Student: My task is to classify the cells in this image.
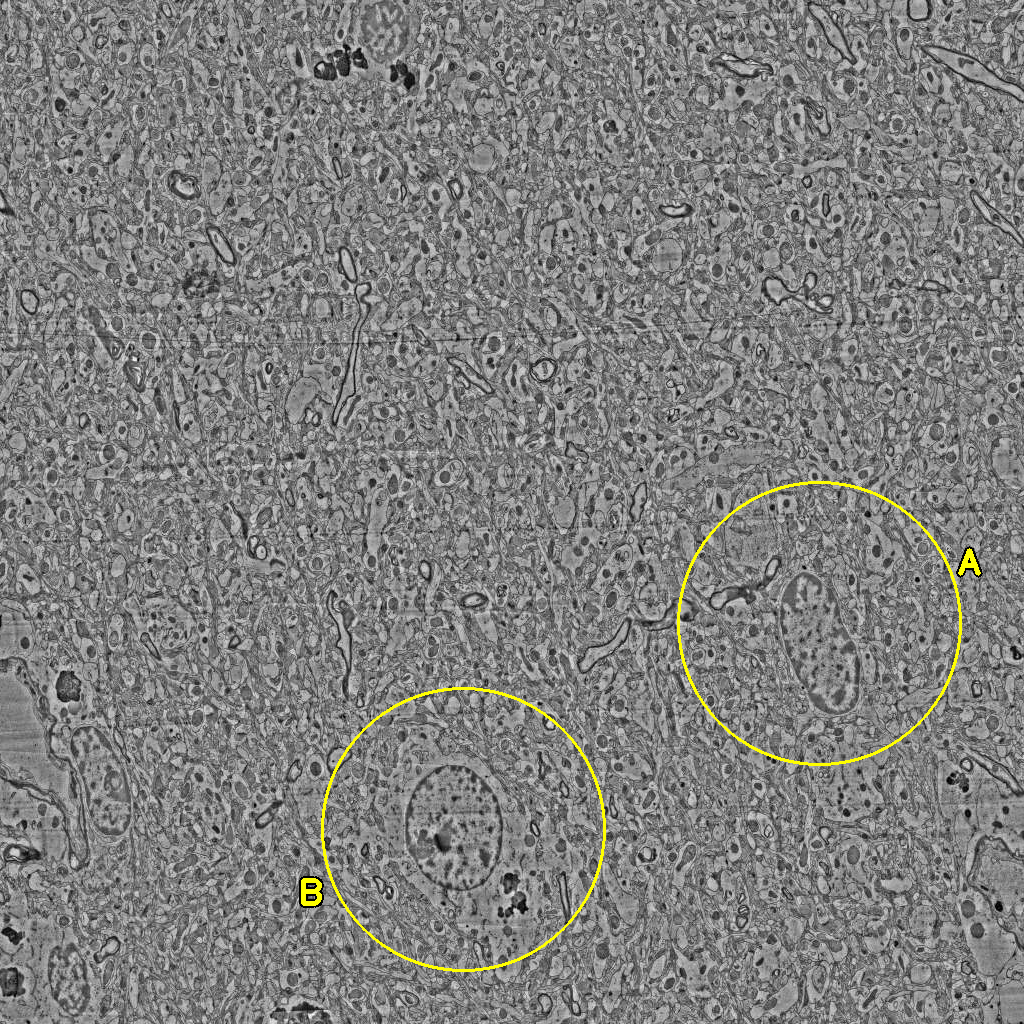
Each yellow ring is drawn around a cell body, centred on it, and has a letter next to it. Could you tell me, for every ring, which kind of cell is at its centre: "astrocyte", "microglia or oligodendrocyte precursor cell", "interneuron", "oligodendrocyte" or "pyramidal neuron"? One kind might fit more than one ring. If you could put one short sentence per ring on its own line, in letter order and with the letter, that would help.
Ring A's central cell is a microglial cell or oligodendrocyte precursor cell.
Ring B's central cell is an astrocyte.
